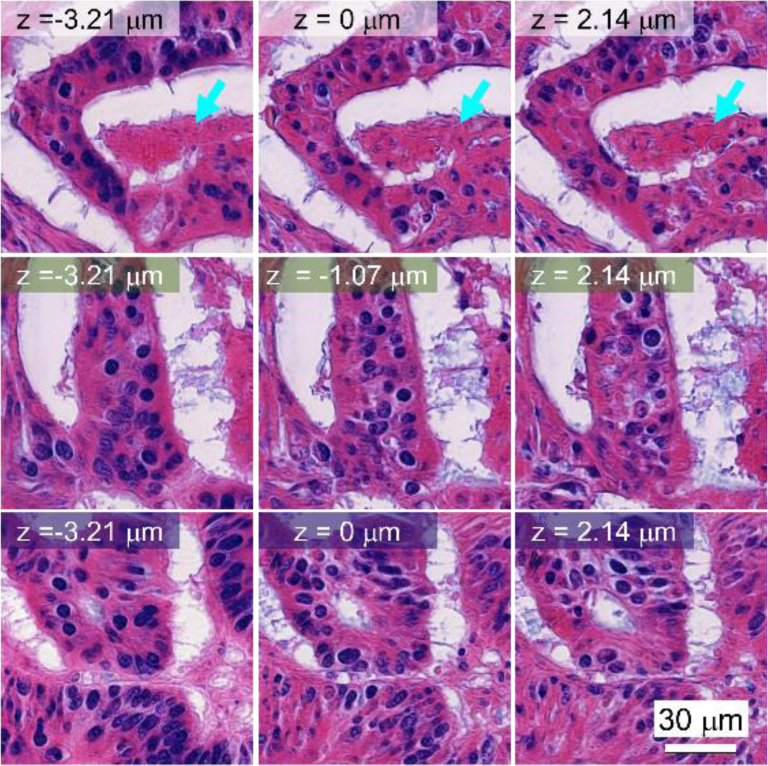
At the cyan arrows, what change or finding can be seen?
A: Necrotic structures.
